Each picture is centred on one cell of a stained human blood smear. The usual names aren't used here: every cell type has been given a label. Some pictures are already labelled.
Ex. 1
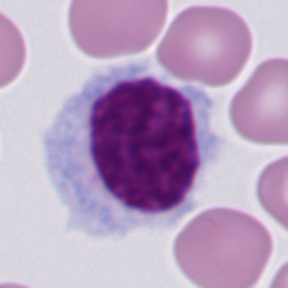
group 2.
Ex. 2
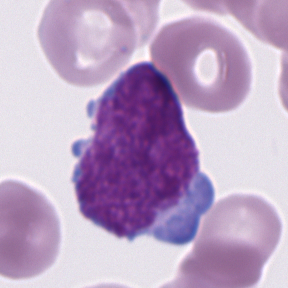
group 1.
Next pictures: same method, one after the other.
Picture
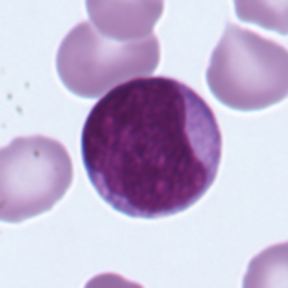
group 1.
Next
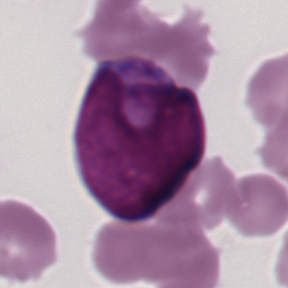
group 1.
